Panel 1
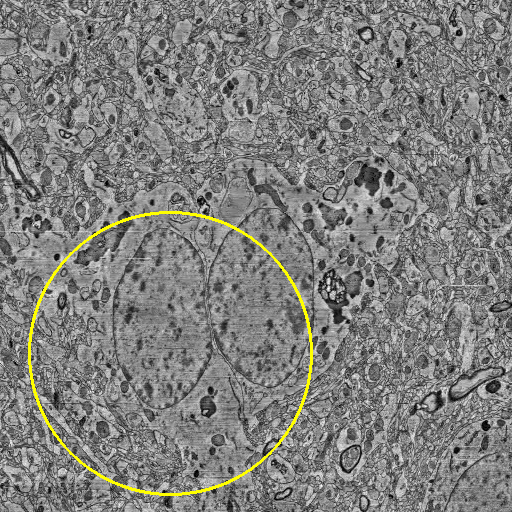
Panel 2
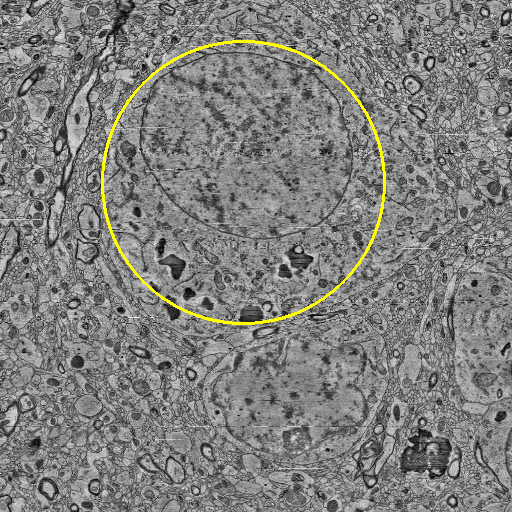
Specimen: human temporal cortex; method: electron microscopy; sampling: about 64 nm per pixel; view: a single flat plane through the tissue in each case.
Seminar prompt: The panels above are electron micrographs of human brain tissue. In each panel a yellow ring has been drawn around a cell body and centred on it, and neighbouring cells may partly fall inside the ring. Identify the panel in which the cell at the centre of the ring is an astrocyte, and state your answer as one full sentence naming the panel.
Panel 1 has it at the centre of its ring.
